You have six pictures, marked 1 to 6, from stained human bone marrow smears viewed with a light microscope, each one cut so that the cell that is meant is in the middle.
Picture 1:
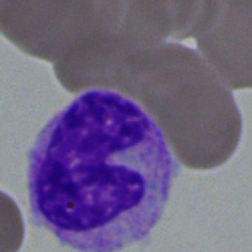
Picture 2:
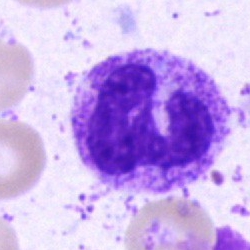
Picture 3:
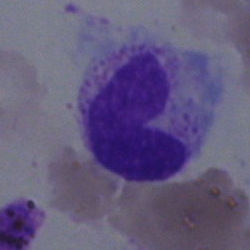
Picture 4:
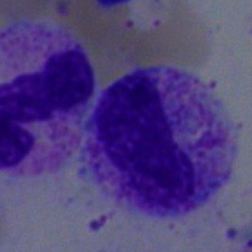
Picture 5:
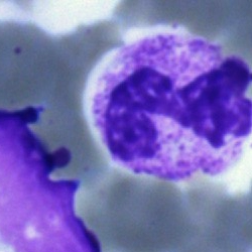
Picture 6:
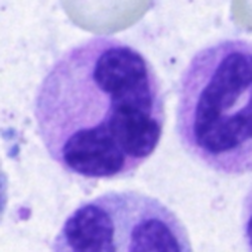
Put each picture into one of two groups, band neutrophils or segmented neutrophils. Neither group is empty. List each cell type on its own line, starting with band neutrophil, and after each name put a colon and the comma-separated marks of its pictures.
band neutrophil: 1, 3, 4
segmented neutrophil: 2, 5, 6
